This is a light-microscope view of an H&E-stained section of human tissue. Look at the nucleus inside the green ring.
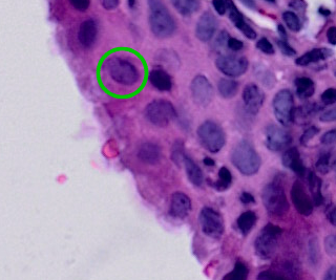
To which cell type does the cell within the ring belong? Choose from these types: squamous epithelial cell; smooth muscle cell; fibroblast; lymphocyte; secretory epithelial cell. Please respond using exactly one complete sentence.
The cell type represented by the cell within the ring is that of a secretory epithelial cell.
